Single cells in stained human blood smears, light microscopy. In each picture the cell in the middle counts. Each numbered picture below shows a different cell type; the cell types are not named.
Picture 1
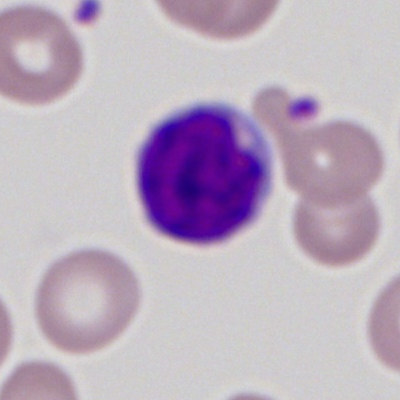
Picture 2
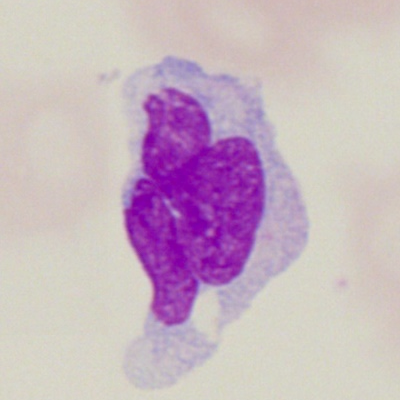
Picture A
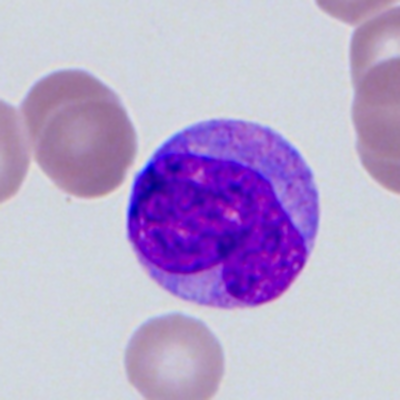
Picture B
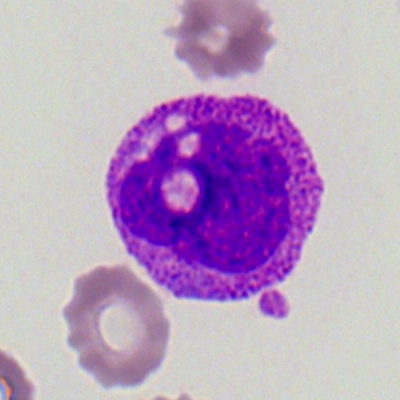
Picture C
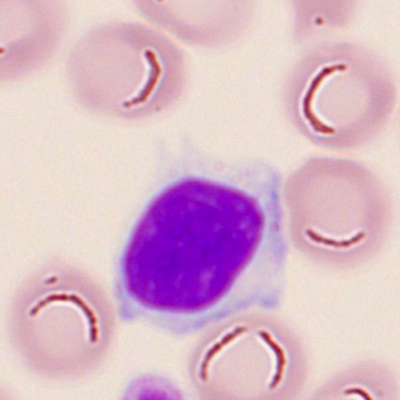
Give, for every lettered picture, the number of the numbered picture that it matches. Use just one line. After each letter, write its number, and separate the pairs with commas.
A 2, B 2, C 1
